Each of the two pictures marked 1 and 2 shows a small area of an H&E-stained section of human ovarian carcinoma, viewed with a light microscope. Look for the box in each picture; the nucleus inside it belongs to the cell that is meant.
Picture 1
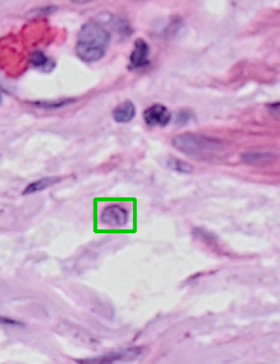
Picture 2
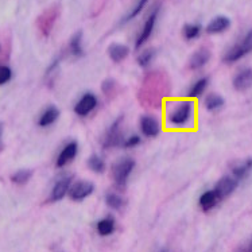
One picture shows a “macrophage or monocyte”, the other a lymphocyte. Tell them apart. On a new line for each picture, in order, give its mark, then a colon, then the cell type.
1: macrophage or monocyte
2: lymphocyte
